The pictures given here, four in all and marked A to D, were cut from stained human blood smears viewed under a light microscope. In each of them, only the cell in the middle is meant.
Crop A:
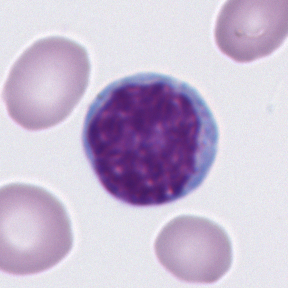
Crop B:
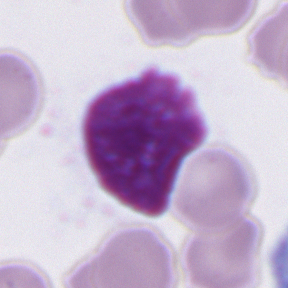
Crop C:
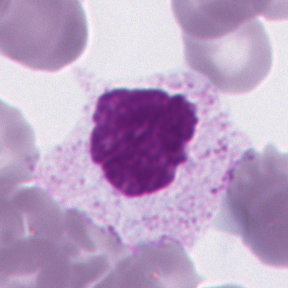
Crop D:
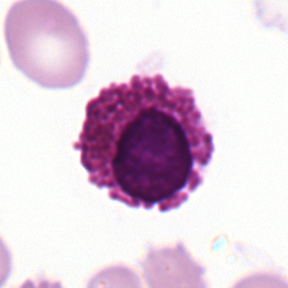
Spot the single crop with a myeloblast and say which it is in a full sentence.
It is in crop A that a myeloblast is shown.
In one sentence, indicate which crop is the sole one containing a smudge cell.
Of the crops given, a smudge cell is found in crop B.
